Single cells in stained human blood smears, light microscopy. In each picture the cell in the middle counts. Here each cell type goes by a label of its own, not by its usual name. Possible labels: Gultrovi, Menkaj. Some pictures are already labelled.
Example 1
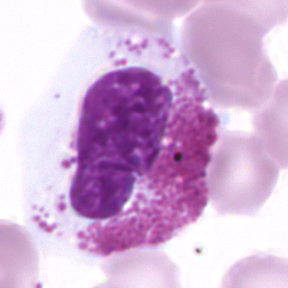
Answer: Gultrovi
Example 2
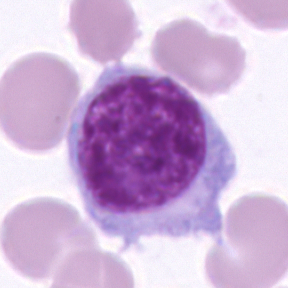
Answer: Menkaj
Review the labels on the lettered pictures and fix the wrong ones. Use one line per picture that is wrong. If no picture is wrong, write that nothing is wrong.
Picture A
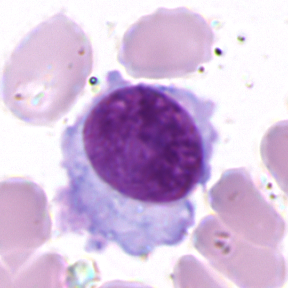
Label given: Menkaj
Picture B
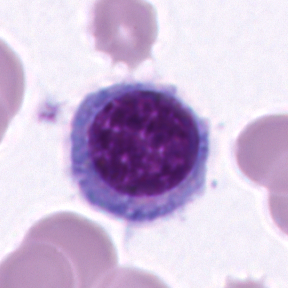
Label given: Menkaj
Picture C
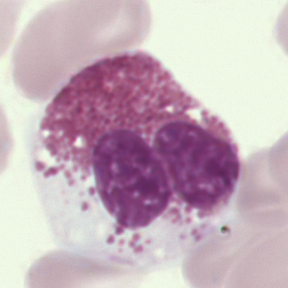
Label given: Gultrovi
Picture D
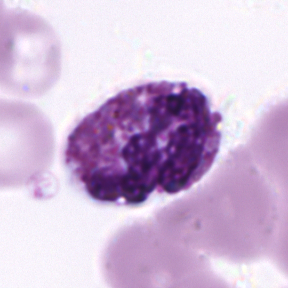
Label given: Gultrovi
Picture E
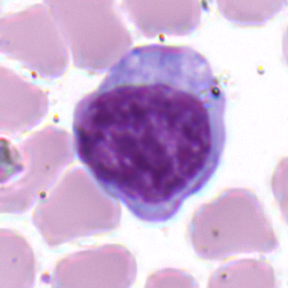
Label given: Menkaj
None of the labels needs changing.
